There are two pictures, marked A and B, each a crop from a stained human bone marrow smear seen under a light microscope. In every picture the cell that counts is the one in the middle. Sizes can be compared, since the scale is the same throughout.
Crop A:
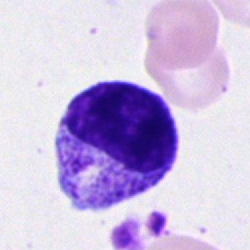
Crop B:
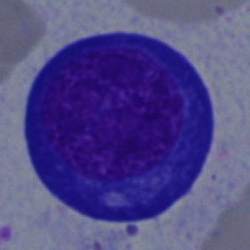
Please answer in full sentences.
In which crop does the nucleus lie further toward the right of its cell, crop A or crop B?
It is the nucleus in crop A that lies further toward the right of its cell.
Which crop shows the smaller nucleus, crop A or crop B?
Smaller is the nucleus in crop A, and the other is about 3 times as large in area.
